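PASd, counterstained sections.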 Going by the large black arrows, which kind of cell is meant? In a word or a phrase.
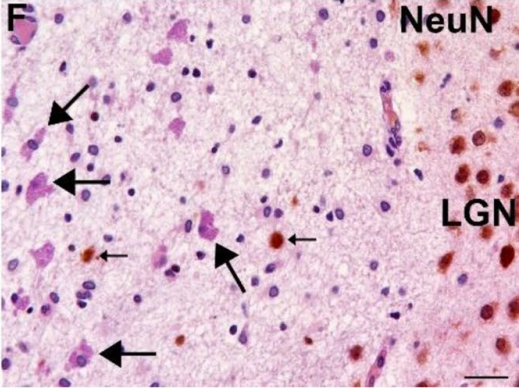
inclusion cells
